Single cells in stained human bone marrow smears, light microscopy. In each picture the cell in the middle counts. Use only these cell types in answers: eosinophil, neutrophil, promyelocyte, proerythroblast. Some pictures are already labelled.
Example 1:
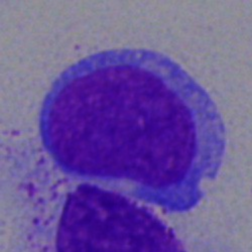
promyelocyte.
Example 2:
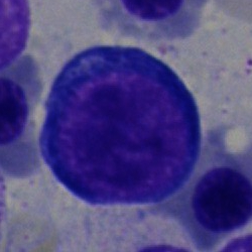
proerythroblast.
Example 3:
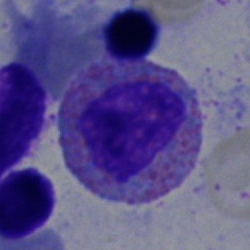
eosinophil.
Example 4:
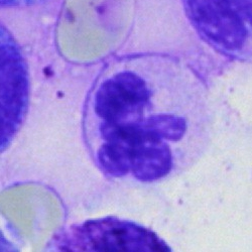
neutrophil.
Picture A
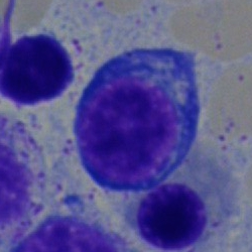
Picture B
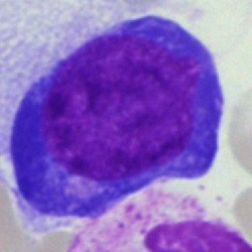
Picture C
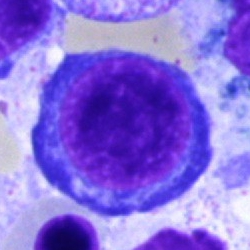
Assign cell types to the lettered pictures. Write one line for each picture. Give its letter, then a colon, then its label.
A: proerythroblast.
B: proerythroblast.
C: proerythroblast.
